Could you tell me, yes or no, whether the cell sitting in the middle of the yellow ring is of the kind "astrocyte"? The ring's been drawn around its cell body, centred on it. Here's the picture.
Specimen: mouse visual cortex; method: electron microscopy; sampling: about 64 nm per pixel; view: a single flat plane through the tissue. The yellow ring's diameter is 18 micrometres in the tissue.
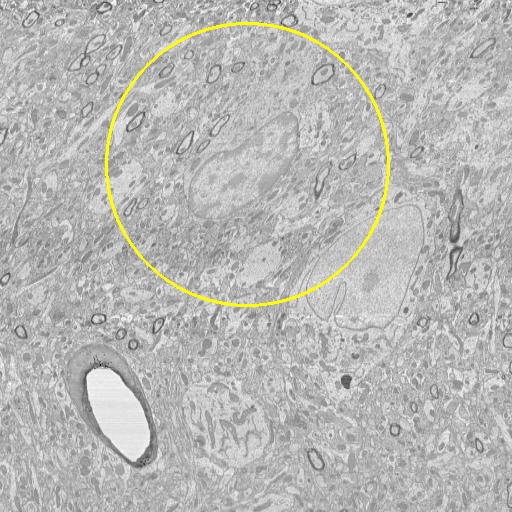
No, it is of another kind.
